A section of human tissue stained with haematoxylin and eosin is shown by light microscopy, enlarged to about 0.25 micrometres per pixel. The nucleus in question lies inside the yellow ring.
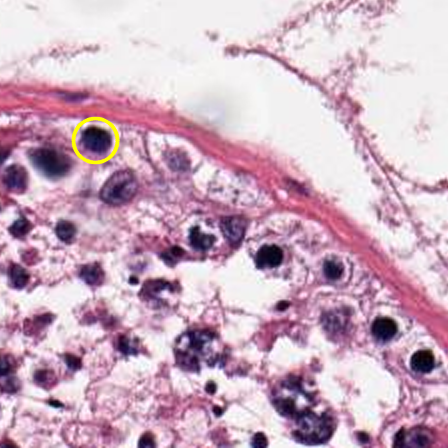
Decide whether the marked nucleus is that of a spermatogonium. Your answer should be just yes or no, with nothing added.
yes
